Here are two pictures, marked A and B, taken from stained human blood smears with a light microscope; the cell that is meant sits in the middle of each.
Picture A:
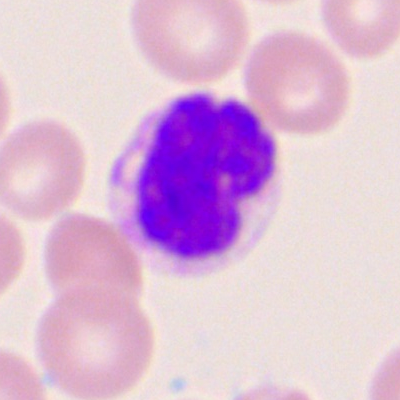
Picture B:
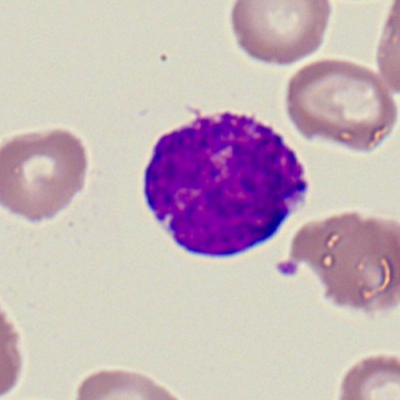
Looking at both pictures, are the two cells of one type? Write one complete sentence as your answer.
Yes, the two pictures both show basophils.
